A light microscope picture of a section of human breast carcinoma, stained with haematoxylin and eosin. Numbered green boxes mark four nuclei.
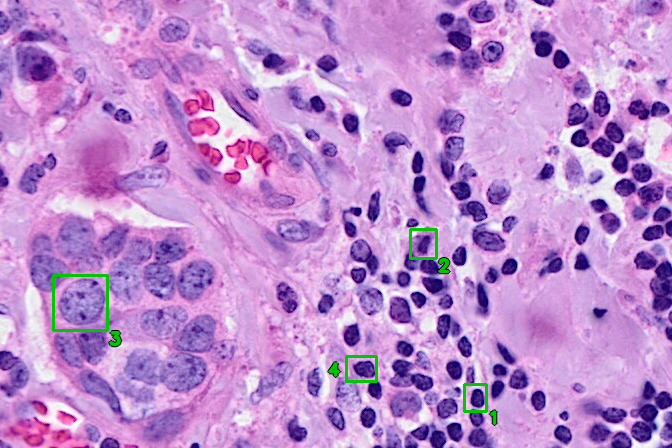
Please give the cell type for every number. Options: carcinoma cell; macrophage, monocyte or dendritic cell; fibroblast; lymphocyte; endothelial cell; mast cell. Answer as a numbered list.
1. lymphocyte
2. lymphocyte
3. carcinoma cell
4. lymphocyte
